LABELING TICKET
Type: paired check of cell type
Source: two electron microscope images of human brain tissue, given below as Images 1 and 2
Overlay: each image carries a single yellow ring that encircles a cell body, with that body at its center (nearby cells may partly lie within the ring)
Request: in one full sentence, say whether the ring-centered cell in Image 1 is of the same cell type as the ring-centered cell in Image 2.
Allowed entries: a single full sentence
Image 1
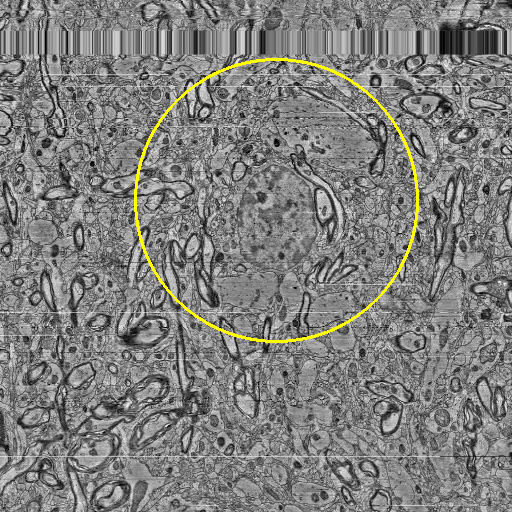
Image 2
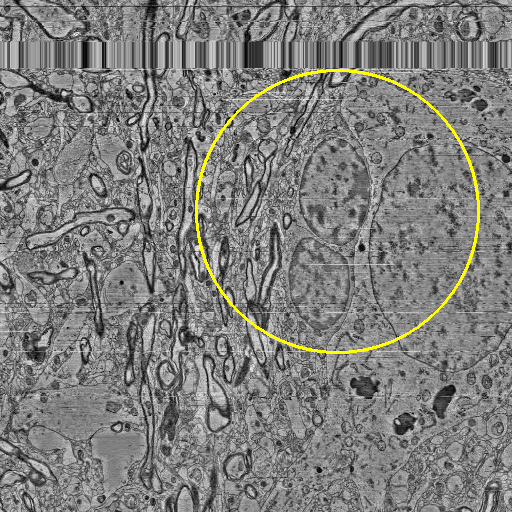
Yes, the cells centered in the rings of Image 1 and Image 2 share one type.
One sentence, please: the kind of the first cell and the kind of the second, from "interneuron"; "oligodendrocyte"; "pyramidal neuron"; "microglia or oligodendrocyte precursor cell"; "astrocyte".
The first and the second cell are each an oligodendrocyte.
